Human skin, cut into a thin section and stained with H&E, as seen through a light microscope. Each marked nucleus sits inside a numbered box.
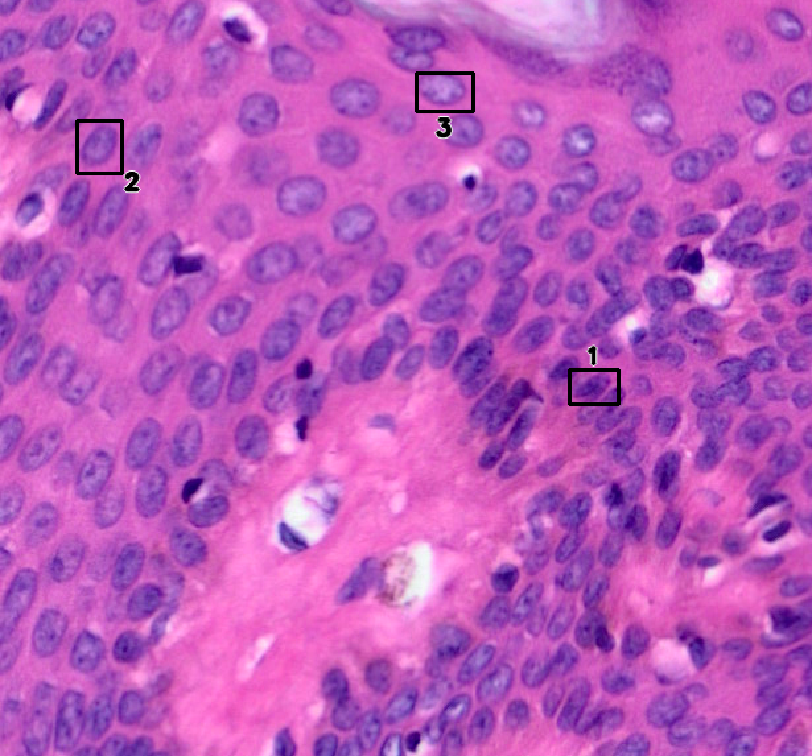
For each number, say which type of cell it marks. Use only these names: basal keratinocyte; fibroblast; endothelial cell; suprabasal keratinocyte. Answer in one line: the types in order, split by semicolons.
basal keratinocyte; suprabasal keratinocyte; suprabasal keratinocyte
